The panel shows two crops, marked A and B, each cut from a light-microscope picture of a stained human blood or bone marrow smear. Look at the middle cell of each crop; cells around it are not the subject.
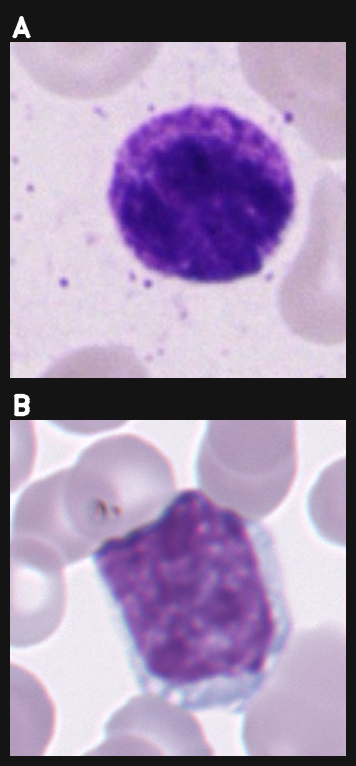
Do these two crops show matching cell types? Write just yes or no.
no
